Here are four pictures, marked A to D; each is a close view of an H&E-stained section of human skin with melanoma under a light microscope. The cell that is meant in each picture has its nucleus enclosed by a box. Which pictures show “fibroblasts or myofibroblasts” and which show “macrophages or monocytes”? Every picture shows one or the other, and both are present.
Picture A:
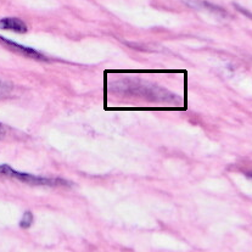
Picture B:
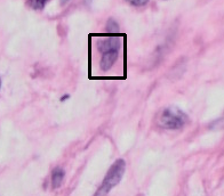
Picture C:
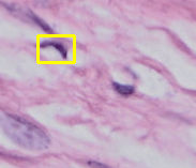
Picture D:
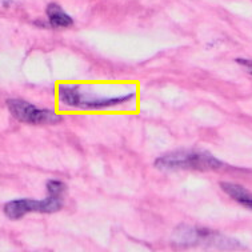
A: fibroblast or myofibroblast
B: macrophage or monocyte
C: fibroblast or myofibroblast
D: fibroblast or myofibroblast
